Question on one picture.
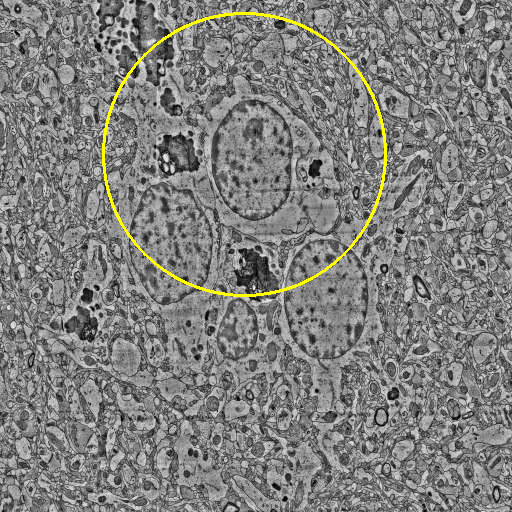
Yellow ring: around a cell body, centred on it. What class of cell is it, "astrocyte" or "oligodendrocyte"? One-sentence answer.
This is an astrocyte, the cell the ring is centred on.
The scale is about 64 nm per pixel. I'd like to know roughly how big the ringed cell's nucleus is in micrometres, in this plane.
The nucleus of the ringed cell is approximately 7 by 5 micrometres in this plane.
